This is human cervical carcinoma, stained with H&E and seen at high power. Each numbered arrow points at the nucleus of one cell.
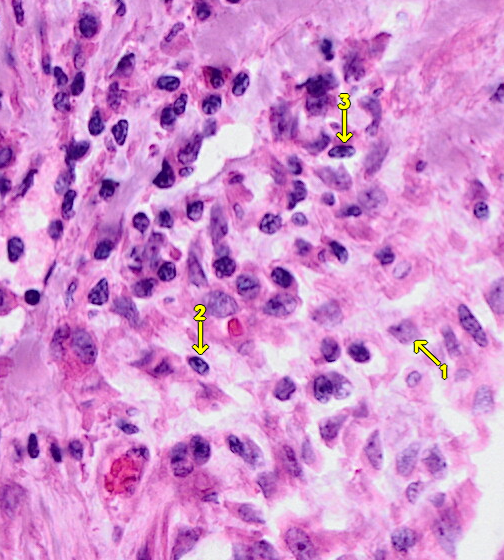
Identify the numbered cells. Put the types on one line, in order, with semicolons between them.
fibroblast; lymphocyte; lymphocyte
